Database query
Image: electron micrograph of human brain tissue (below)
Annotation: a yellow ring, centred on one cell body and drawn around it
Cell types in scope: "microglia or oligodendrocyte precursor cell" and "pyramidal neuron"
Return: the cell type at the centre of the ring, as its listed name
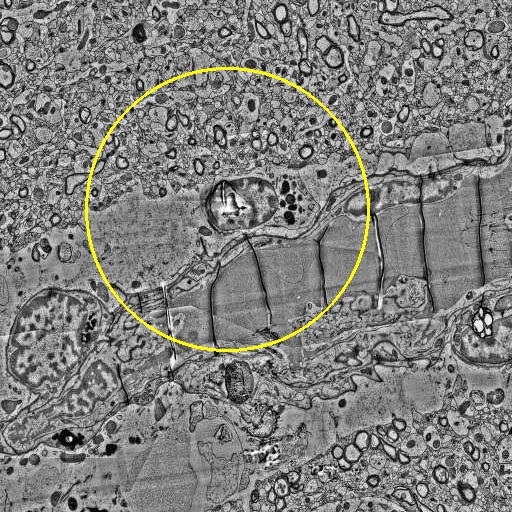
microglia or oligodendrocyte precursor cell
